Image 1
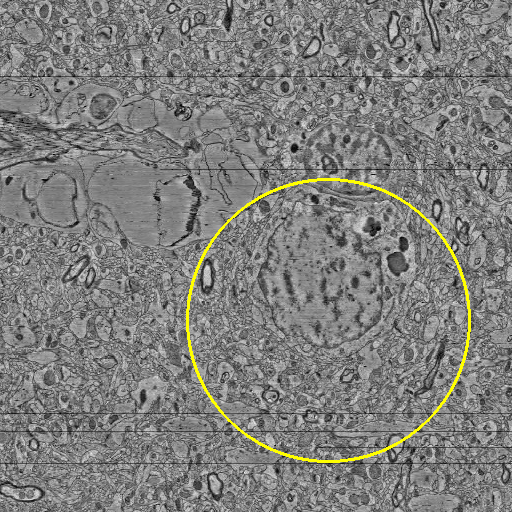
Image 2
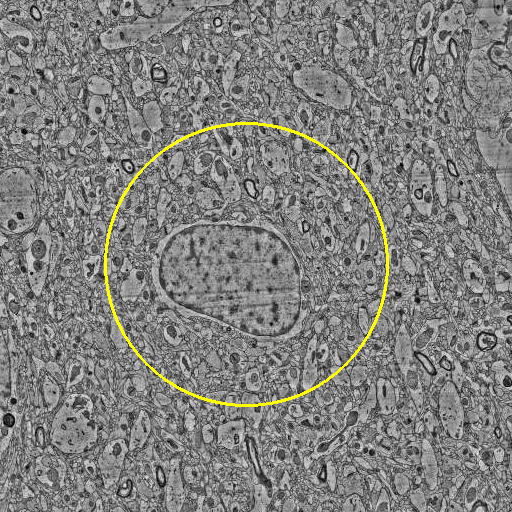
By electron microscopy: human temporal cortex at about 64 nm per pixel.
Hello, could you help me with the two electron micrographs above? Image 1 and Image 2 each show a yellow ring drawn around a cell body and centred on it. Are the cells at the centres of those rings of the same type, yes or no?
no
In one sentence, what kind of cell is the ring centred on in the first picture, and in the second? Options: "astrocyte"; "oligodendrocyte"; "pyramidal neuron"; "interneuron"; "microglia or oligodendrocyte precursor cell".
The cell at the centre of the second ring is a microglial cell or oligodendrocyte precursor cell; the first ring's cell is an interneuron.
